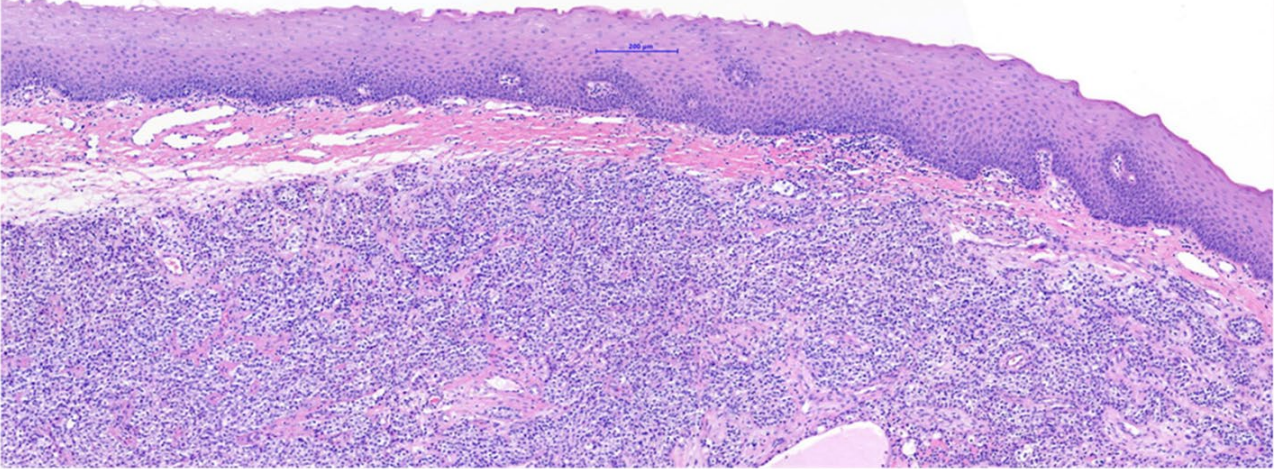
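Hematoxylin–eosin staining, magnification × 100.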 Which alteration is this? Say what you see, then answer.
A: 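A dense cellular mass fills the tissue beneath the epithelium. The mass lies below a thin band of pink connective tissue under the surface epithelium.
Infiltrated from below.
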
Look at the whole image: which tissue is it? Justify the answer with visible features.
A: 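Squamous cell mucosa. A stratified epithelium of many cell layers lines the top surface. The basal layer is darker and rests on fibrous connective tissue. No keratin layer is clearly seen on the surface.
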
